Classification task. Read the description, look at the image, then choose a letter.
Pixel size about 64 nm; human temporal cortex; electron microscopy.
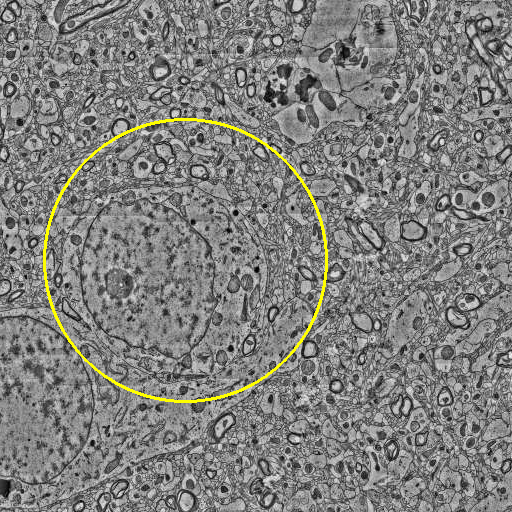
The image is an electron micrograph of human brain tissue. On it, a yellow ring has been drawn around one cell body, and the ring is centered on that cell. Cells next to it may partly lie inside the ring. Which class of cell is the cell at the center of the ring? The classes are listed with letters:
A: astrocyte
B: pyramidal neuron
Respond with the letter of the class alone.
B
